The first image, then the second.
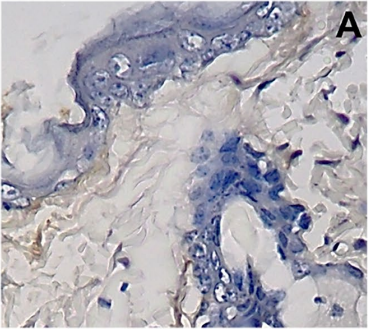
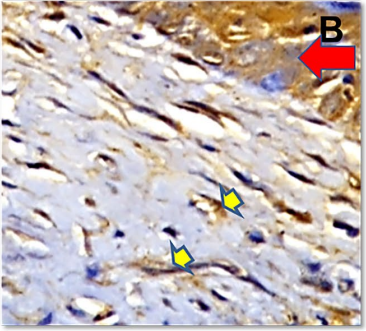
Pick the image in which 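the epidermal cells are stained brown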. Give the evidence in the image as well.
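Second image: the epithelial sheet at the upper right is brown. First image: the epidermis is blue to pale with hardly any brown. The answer: the second image.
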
